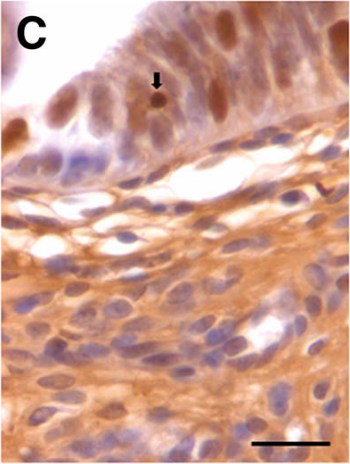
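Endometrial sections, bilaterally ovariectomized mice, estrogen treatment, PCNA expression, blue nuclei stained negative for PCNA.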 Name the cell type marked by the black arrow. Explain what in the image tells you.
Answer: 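The arrow points to a small round cell within the epithelial layer. Its nucleus is round, small and dark brown. It is much smaller than the neighbouring elongated epithelial nuclei.
Hence: Small spherical cells.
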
